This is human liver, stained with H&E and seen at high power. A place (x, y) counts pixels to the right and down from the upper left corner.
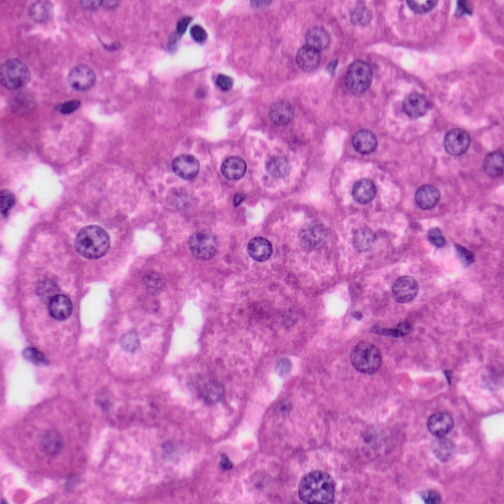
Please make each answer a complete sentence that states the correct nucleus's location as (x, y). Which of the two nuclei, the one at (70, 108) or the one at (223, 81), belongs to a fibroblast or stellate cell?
Housed in a fibroblast or stellate cell is the nucleus at (70, 108), not the other one.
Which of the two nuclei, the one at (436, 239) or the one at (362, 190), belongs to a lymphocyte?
The nucleus that sits at (436, 239) is the nucleus of a lymphocyte.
